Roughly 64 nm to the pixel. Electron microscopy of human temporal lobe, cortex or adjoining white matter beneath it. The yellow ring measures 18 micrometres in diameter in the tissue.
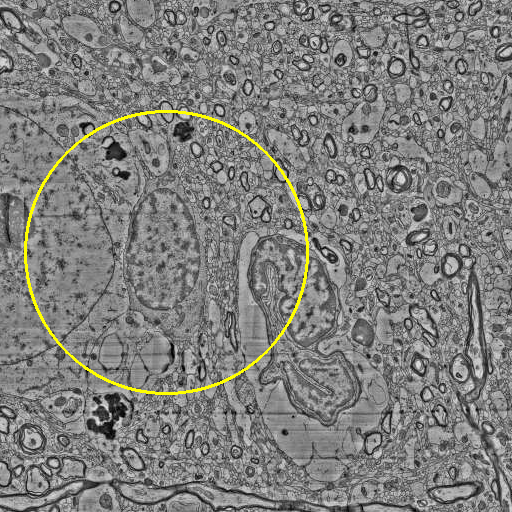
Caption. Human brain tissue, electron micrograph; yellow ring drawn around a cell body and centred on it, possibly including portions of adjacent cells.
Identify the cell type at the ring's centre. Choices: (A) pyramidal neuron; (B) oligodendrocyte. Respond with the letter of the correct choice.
B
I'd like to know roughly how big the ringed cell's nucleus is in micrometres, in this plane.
The nucleus is approximately 8 micrometres long but only about 5 wide, clearly longer than it is wide in this plane.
